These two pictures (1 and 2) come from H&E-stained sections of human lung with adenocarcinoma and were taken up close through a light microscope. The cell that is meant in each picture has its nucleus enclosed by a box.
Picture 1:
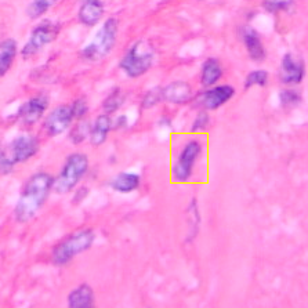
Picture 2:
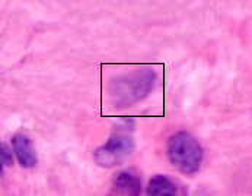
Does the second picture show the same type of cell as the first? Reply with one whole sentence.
No, the types are not the same, since picture 1 shows a mast cell and picture 2 a fibroblast.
